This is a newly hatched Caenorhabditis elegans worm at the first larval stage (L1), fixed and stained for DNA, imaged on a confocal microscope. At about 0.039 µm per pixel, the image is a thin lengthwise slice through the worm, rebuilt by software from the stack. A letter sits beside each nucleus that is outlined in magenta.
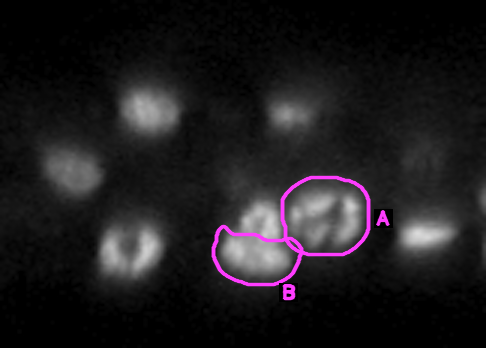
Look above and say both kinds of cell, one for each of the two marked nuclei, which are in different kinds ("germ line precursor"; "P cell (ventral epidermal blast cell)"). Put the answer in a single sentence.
The nucleus A is that of a germ line precursor, while B is that of a P cell (ventral epidermal blast cell).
